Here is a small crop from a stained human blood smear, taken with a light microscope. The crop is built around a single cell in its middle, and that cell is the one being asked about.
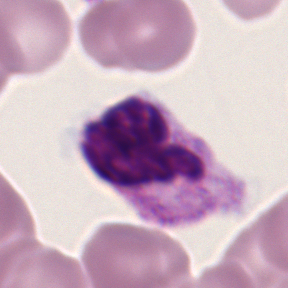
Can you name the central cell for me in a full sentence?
Here the centrally located cell is a segmented neutrophil.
